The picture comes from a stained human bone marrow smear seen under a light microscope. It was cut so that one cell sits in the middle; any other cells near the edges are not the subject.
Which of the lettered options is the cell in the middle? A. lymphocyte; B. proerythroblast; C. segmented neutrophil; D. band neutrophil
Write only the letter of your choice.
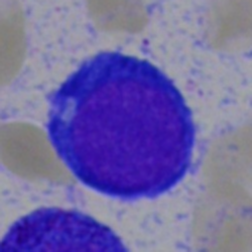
B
